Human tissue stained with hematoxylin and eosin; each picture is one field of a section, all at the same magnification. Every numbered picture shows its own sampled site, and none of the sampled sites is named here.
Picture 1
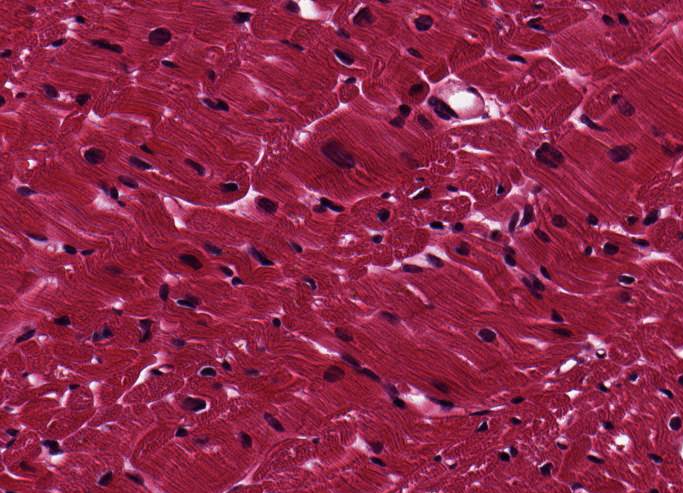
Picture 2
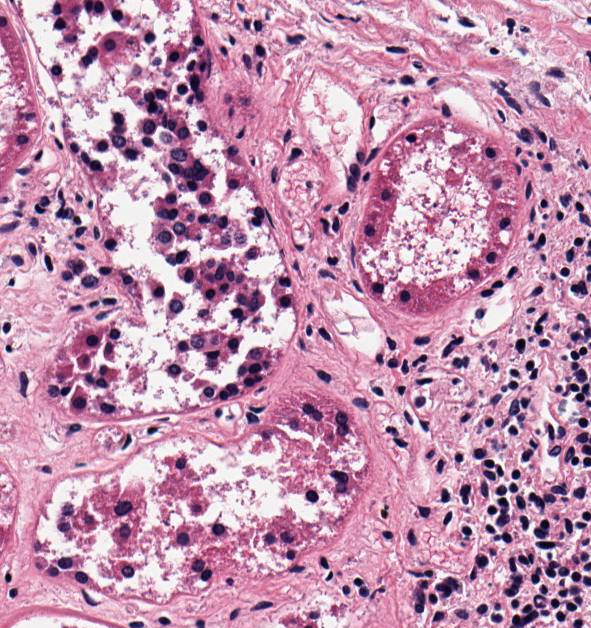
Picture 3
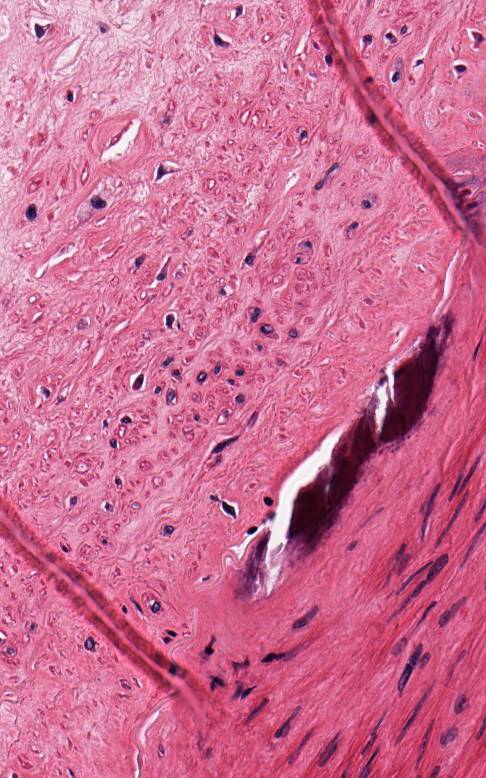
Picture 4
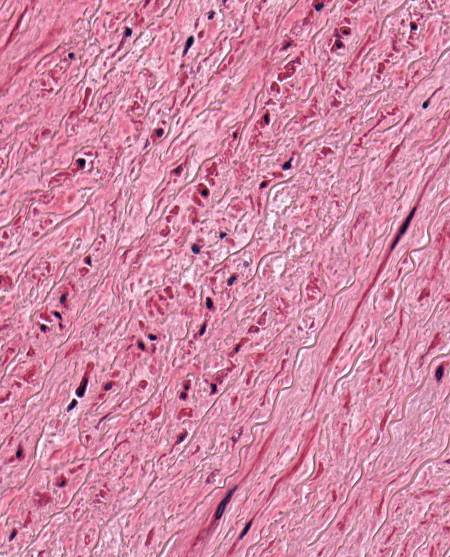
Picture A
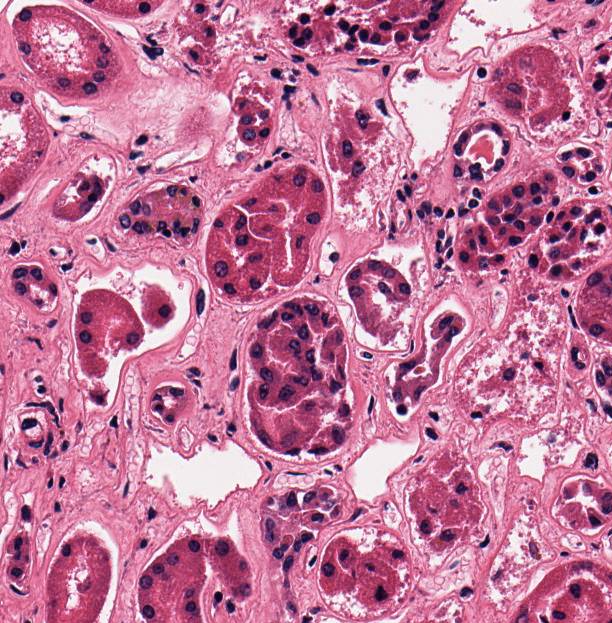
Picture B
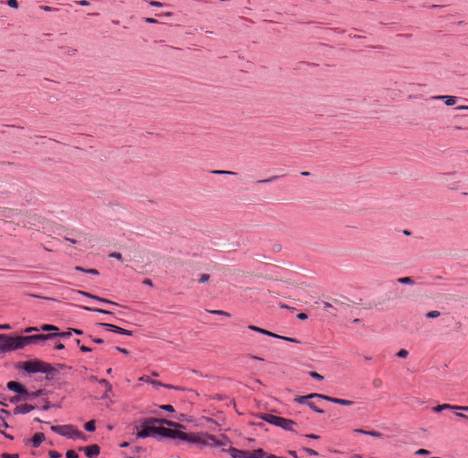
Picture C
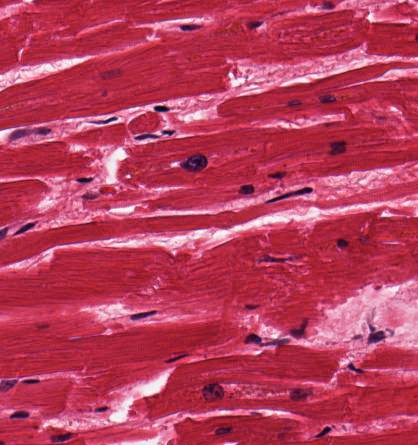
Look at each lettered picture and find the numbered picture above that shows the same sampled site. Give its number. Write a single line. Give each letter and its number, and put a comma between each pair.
A 2, B 3, C 1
